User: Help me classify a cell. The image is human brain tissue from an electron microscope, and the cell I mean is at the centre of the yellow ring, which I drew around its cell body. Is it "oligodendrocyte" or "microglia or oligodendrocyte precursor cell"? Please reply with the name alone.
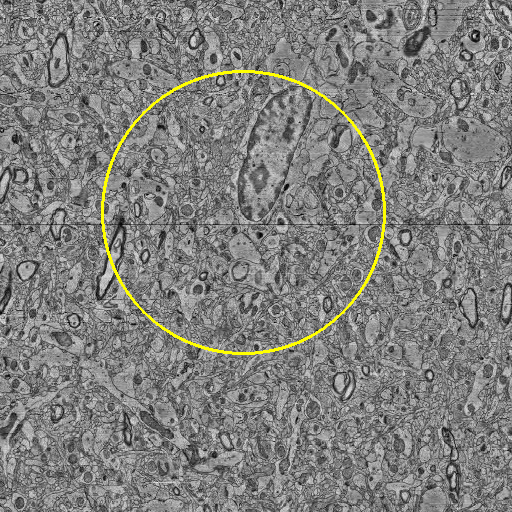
microglia or oligodendrocyte precursor cell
